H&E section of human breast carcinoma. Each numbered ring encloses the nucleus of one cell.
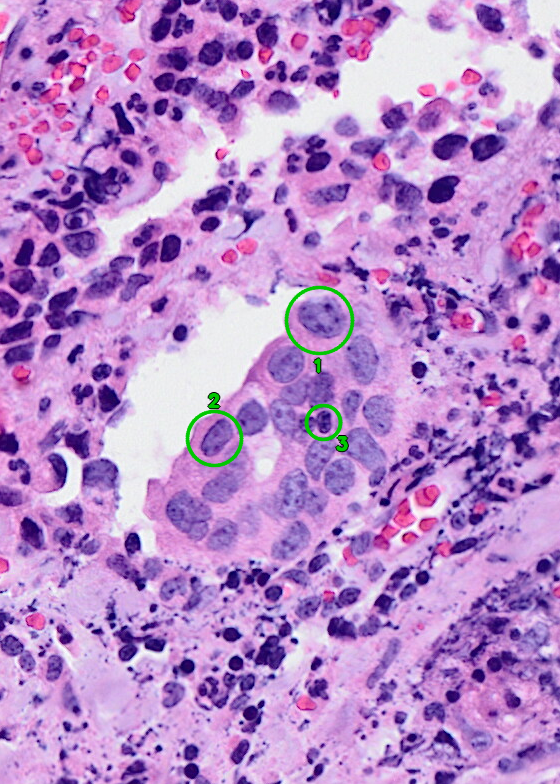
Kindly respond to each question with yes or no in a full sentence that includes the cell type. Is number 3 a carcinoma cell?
No, it is a lymphocyte, not a carcinoma cell, that number 3 marks.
